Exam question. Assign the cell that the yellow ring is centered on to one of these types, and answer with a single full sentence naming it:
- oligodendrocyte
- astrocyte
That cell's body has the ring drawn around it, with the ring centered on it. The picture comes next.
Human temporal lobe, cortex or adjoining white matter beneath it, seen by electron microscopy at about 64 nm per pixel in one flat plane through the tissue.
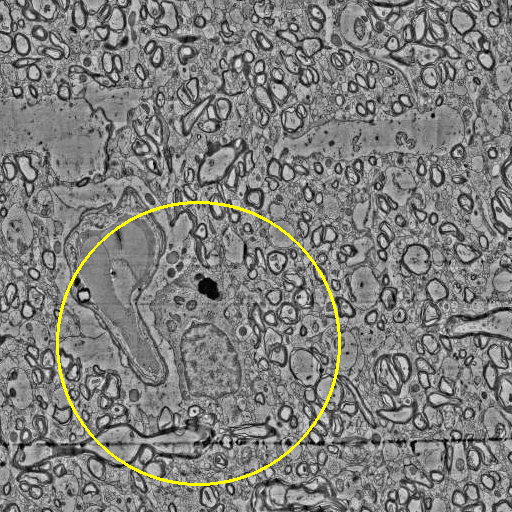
In the micrograph, the cell the yellow ring is centered on is an oligodendrocyte.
